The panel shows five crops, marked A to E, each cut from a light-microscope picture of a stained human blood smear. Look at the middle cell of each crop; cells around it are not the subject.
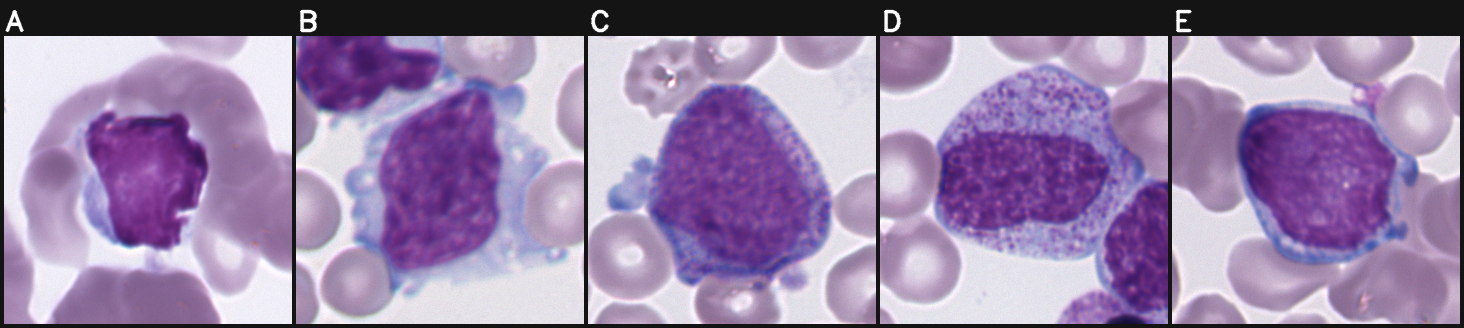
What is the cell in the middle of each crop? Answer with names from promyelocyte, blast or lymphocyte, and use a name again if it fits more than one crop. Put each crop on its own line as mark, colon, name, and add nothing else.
A: lymphocyte
B: blast
C: promyelocyte
D: promyelocyte
E: blast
